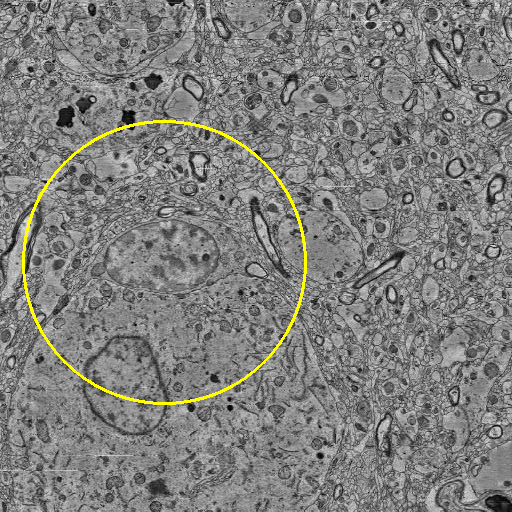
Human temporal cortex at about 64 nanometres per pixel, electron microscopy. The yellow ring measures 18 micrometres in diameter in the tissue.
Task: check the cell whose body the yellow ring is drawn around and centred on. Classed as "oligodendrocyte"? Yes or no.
Yes, it is classed that way.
